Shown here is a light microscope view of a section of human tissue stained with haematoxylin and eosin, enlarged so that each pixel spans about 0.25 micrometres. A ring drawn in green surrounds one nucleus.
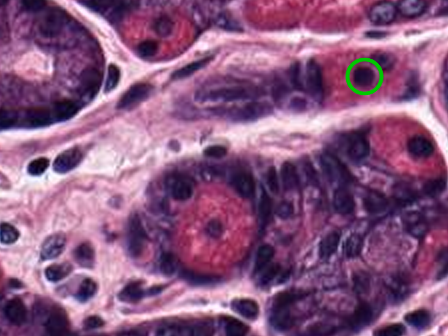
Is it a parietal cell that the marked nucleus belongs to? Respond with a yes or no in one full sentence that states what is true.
Yes, the marked nucleus is recognised as belonging to a parietal cell.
